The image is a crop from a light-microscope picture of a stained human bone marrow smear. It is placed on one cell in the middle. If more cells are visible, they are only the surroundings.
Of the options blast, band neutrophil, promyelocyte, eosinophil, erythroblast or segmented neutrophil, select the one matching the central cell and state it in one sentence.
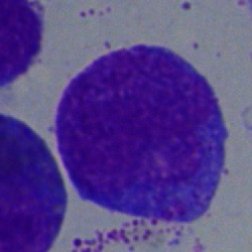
The centrally positioned cell in the crop represents a promyelocyte.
